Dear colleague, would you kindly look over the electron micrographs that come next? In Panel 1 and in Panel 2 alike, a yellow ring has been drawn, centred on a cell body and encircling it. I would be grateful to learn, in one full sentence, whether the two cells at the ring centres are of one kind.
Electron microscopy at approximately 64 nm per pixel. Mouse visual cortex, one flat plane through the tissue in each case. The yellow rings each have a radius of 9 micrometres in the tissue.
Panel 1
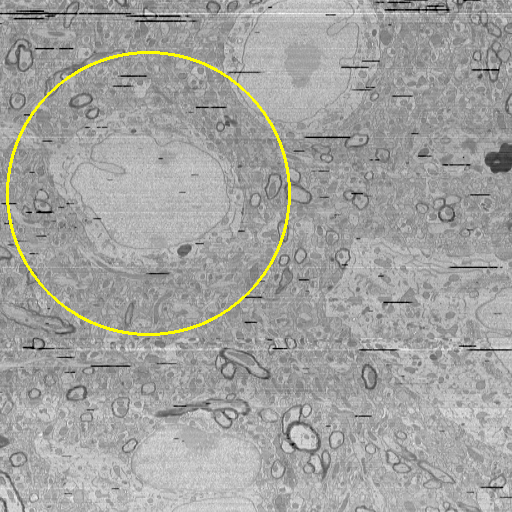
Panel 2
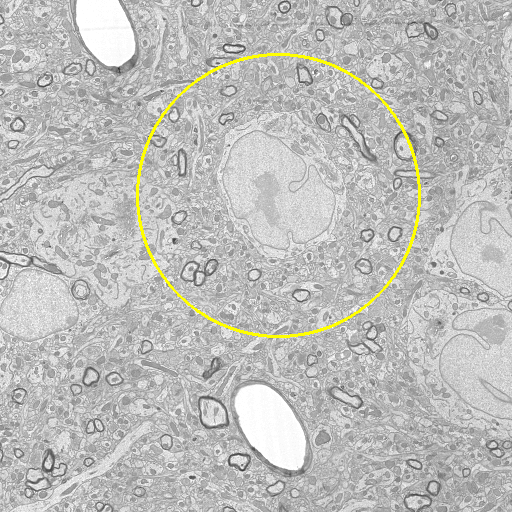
Yes, the cells in the middle of the rings in the two panels are of one kind.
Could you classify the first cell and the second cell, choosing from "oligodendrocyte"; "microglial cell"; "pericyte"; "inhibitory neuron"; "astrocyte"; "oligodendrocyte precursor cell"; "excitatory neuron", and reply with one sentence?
The second cell is an excitatory neuron, just as the first is.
